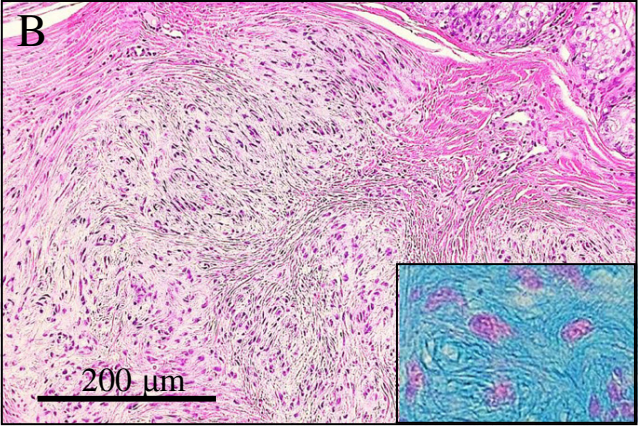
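This shows lobulated parts of a dermal tumour in which neoplastic spindle cells form small round and whorled nests set in a pale, loose myxoid stroma, with denser pink collagen and adnexal structures at the upper edge. In the inset the matrix between the cells stains blue-green, with the cell nuclei pink-purple.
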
